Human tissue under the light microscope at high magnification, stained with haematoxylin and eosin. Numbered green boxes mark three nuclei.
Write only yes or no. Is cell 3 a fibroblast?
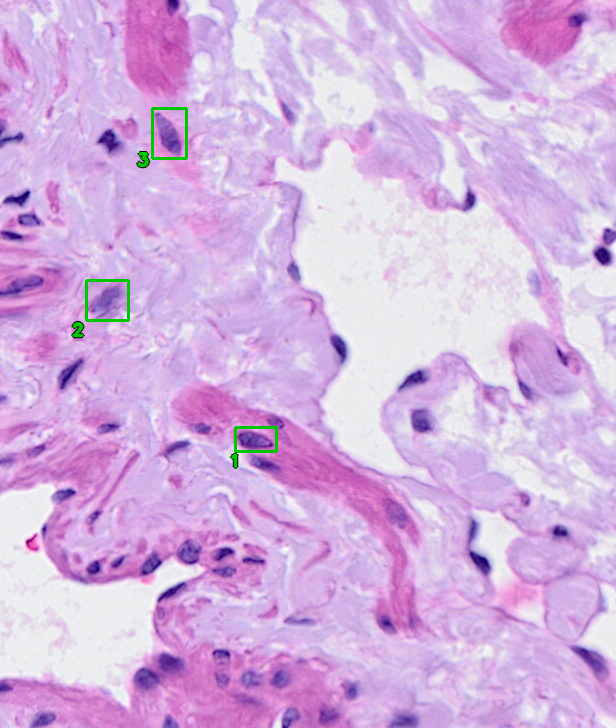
no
